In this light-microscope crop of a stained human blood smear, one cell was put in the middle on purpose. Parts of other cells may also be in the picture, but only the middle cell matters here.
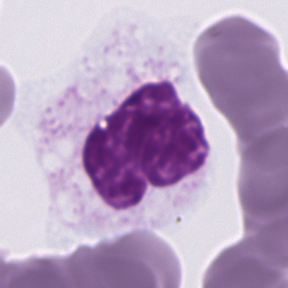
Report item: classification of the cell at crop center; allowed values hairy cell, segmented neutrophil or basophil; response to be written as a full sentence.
This crop is built around a segmented neutrophil at its centre.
